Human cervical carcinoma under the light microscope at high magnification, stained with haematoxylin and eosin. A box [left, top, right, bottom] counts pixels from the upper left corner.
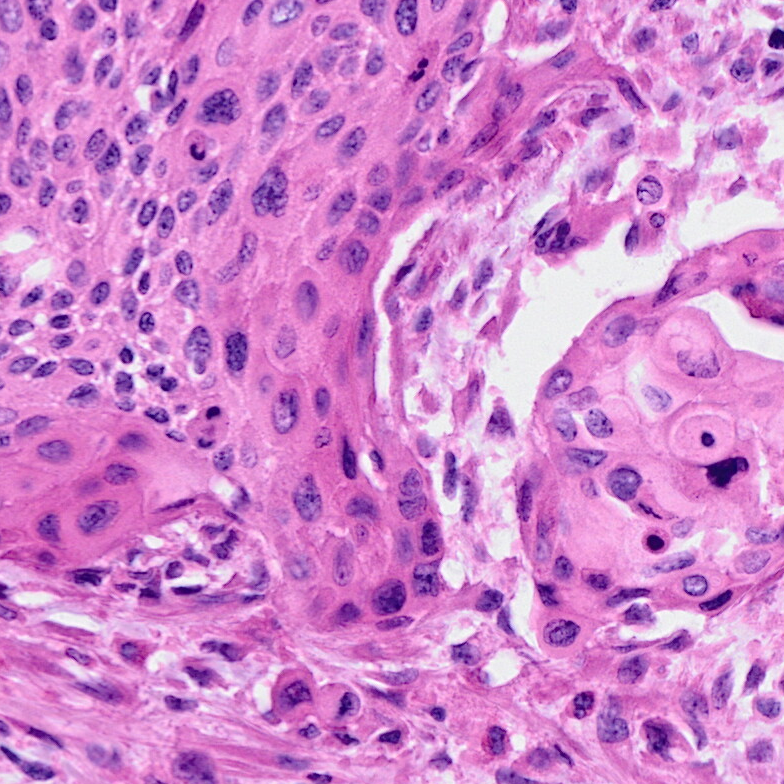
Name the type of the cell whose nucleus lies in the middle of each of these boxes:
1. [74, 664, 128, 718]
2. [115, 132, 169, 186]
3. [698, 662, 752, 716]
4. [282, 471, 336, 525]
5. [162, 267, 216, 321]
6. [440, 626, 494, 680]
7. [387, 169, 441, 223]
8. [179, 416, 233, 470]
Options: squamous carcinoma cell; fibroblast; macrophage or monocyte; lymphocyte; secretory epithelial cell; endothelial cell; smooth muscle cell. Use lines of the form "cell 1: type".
cell 1: fibroblast
cell 2: squamous carcinoma cell
cell 3: fibroblast
cell 4: squamous carcinoma cell
cell 5: squamous carcinoma cell
cell 6: macrophage or monocyte
cell 7: squamous carcinoma cell
cell 8: squamous carcinoma cell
